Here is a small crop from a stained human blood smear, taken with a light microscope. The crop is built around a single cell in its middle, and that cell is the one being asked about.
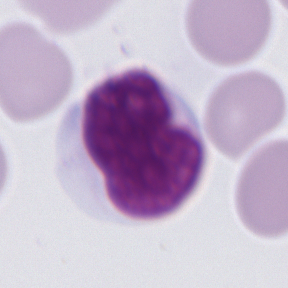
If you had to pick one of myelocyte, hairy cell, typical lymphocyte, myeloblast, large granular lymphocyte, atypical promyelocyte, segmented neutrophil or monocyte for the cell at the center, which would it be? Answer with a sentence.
Here the centrally located cell is a large granular lymphocyte.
